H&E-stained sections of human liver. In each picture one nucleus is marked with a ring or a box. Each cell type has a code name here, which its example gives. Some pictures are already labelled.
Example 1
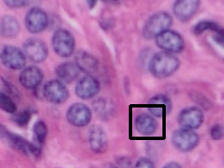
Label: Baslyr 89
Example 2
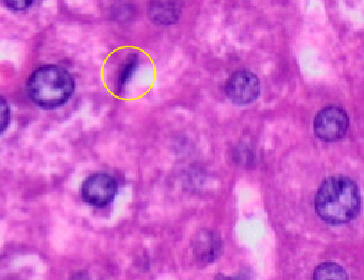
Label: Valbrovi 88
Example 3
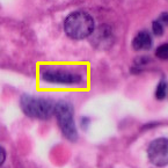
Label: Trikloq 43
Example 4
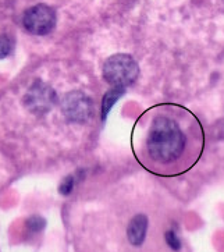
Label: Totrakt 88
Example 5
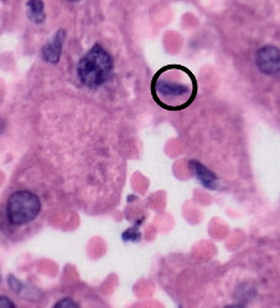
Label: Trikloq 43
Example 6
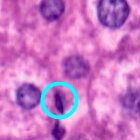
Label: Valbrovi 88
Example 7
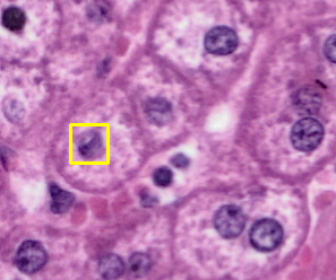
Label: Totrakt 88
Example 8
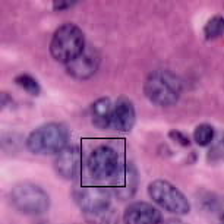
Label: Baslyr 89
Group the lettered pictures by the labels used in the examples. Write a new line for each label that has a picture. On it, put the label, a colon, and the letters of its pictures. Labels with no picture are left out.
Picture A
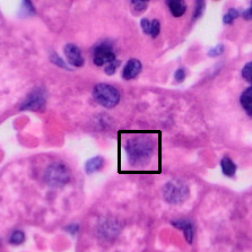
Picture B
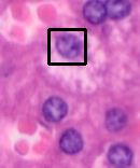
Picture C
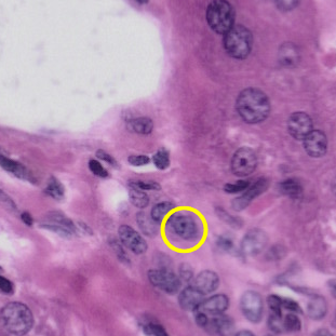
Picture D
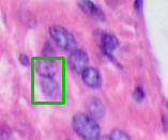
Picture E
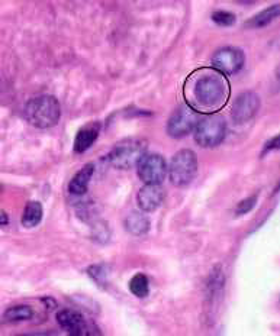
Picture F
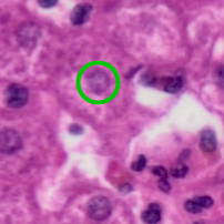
Baslyr 89: C, D, E
Valbrovi 88: A
Totrakt 88: B, F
